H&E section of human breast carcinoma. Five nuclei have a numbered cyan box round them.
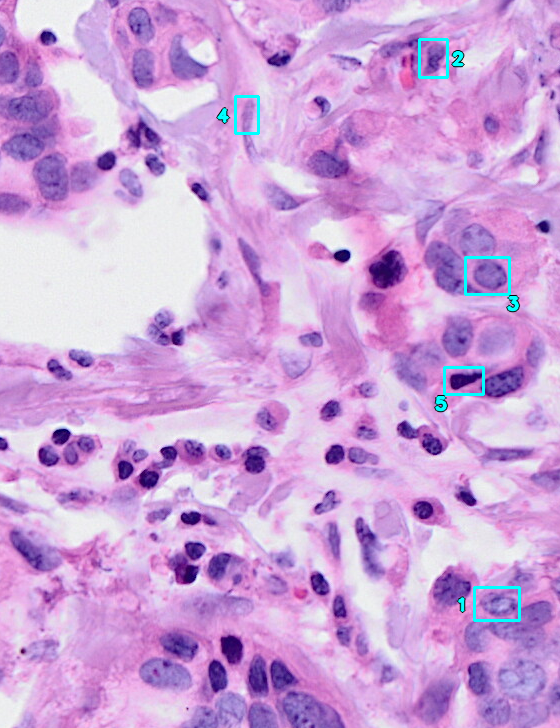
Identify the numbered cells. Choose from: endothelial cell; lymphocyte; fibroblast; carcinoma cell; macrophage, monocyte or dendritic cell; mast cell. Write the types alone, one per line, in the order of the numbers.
carcinoma cell
endothelial cell
carcinoma cell
fibroblast
carcinoma cell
